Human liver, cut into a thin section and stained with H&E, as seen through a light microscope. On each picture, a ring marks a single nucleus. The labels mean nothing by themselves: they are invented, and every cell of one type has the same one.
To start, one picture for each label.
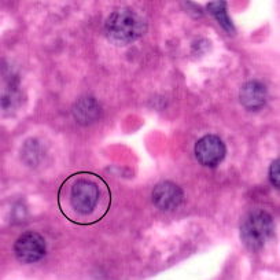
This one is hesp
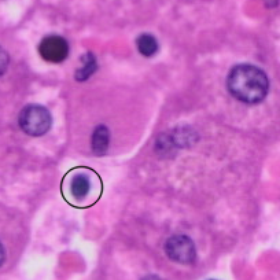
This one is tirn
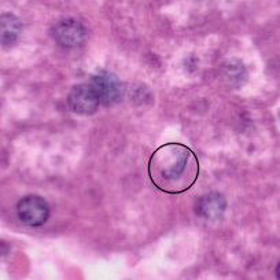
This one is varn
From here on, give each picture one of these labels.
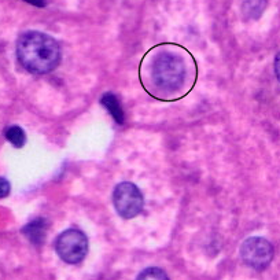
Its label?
hesp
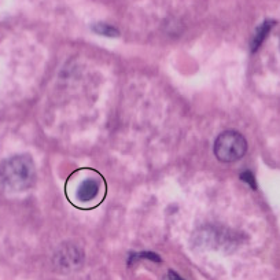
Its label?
tirn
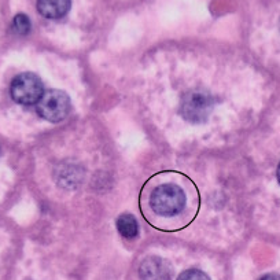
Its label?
hesp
